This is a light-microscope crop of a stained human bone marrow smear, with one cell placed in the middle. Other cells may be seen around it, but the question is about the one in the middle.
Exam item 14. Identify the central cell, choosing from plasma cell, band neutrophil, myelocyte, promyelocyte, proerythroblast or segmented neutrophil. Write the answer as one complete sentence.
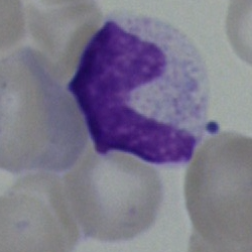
Standing at the centre of this crop is a band neutrophil.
